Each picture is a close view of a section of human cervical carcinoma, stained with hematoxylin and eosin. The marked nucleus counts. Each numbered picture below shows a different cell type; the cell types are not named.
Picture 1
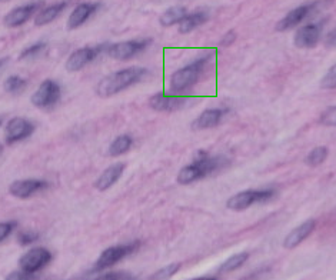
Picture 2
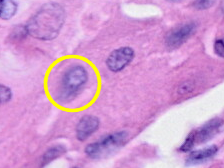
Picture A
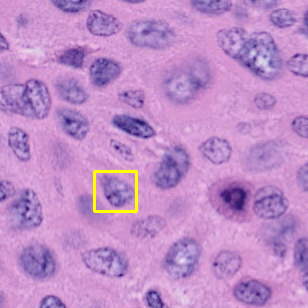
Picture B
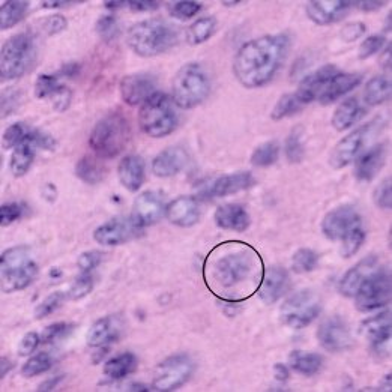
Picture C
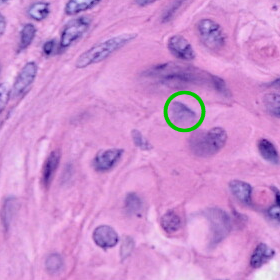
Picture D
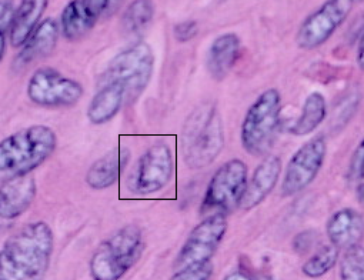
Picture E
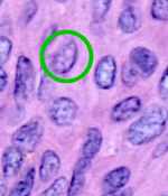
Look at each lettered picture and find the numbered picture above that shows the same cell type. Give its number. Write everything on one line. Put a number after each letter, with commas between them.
A 2, B 2, C 2, D 2, E 2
